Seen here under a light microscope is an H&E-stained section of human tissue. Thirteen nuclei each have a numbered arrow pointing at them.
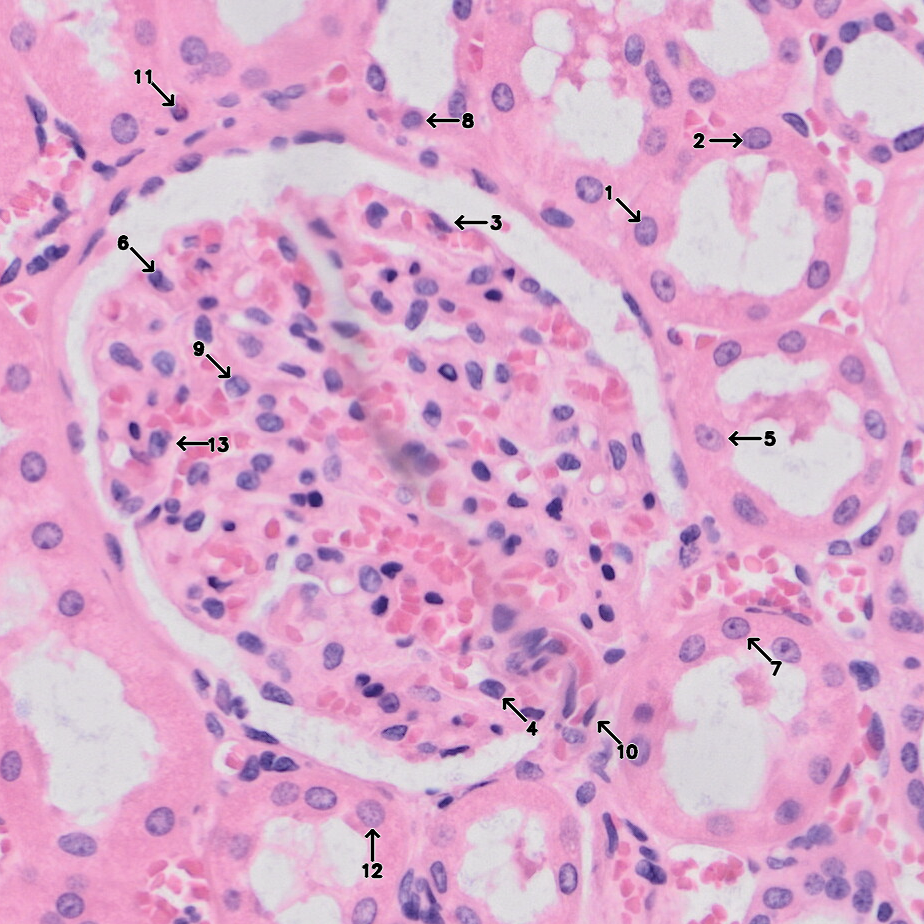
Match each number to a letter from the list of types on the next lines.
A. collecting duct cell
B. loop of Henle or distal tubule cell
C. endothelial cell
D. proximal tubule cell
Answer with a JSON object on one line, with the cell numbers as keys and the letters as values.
{"1": "D", "2": "D", "3": "C", "4": "C", "5": "D", "6": "C", "7": "D", "8": "B", "9": "C", "10": "C", "11": "C", "12": "D", "13": "C"}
